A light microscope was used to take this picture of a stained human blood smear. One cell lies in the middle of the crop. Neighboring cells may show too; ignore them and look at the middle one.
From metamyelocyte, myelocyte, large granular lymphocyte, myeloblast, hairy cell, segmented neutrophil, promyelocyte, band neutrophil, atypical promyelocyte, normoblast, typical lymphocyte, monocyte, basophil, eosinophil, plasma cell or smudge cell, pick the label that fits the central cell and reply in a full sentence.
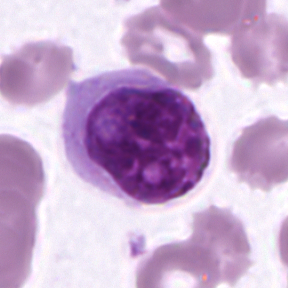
The cell shown in the center of this light-microscope crop is a plasma cell.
